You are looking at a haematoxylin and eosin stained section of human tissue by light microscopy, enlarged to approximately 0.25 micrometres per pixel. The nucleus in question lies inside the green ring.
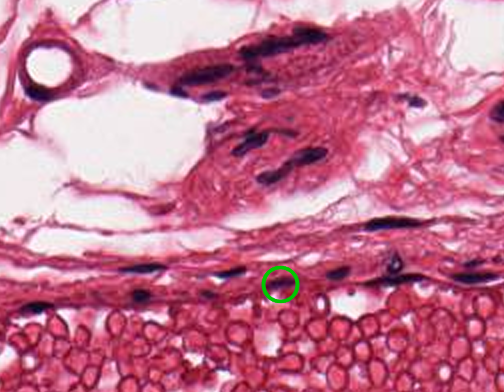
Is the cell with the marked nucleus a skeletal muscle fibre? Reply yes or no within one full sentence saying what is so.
No, a supporting cell rather than a skeletal muscle fibre is the cell of the marked nucleus.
